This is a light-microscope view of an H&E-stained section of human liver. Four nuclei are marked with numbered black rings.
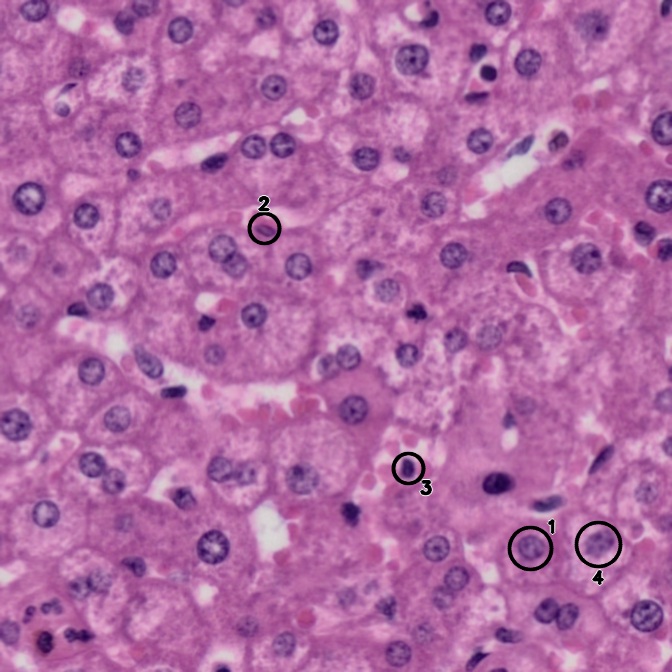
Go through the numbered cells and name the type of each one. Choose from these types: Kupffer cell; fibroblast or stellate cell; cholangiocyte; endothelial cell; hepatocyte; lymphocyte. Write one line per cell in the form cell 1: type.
cell 1: hepatocyte
cell 2: Kupffer cell
cell 3: lymphocyte
cell 4: hepatocyte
